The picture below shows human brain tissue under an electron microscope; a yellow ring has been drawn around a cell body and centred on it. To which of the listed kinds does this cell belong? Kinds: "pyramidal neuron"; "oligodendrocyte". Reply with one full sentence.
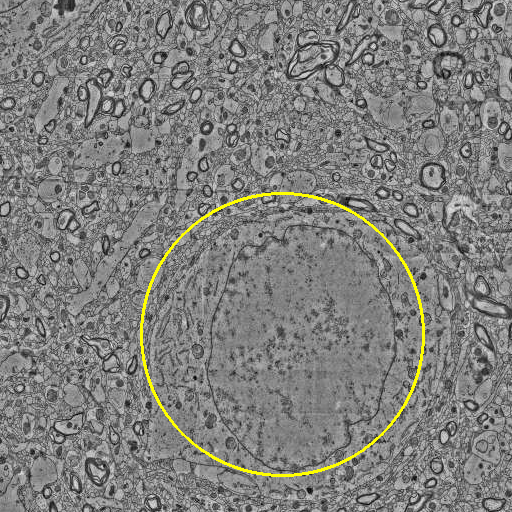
It is a pyramidal neuron that the yellow ring in the picture is centred on.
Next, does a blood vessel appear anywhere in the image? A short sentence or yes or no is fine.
No, none is visible.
